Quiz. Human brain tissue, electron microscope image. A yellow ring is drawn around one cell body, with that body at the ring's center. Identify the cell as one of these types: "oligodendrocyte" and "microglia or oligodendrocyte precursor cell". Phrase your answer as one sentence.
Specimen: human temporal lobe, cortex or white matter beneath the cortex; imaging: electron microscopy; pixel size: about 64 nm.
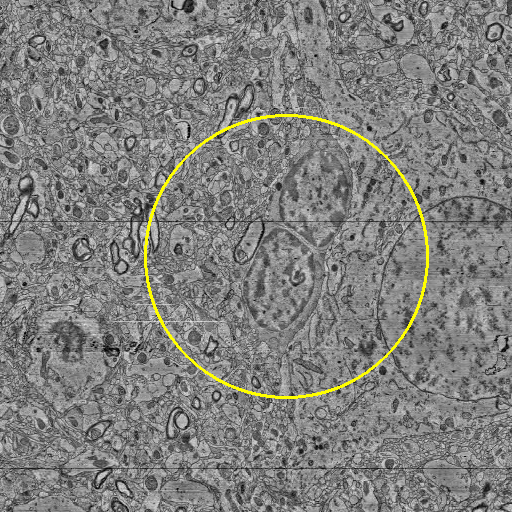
At the center of the ring sits an oligodendrocyte.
